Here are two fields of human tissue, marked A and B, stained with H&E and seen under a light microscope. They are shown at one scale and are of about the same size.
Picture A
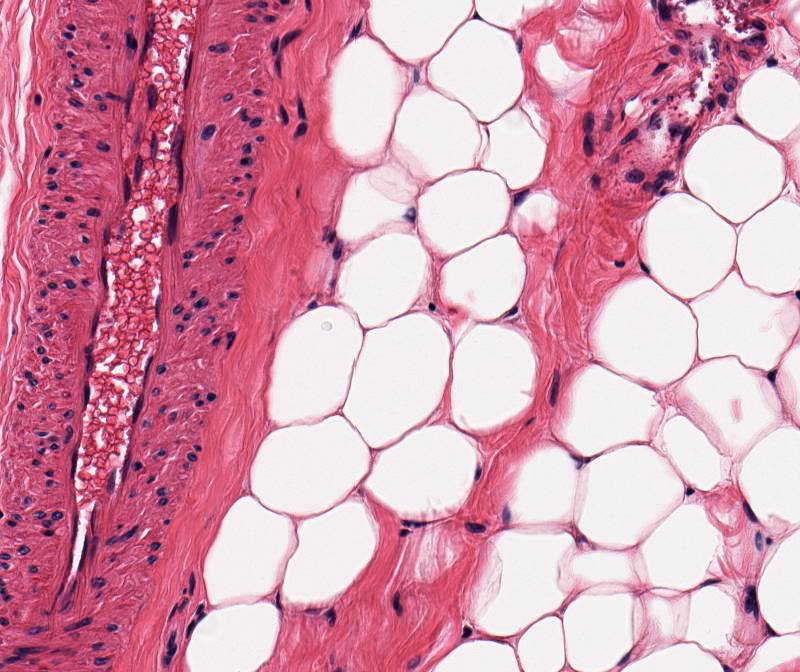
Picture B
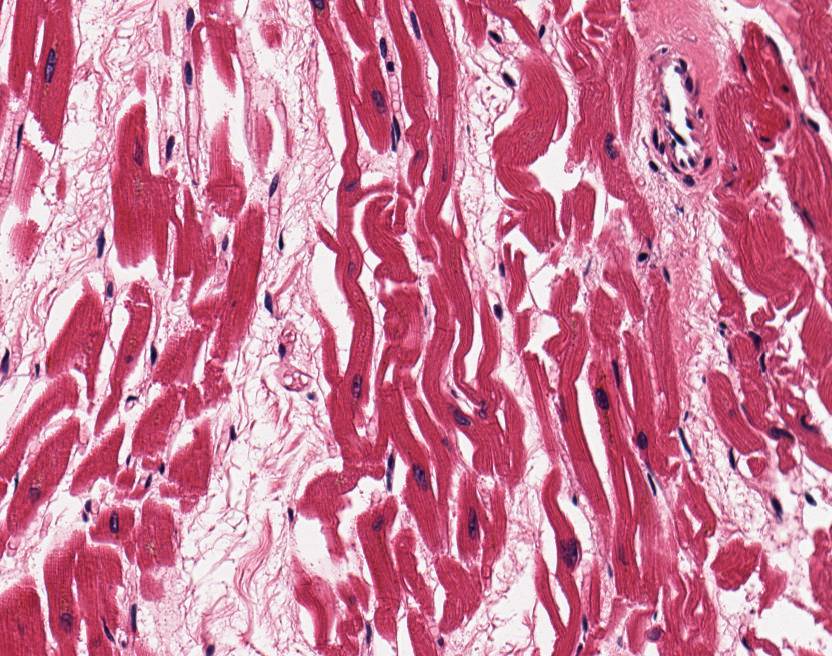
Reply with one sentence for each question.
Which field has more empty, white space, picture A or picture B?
It is picture A in which white space covers the larger part.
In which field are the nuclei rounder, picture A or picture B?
Rounder nuclei lie in picture A.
